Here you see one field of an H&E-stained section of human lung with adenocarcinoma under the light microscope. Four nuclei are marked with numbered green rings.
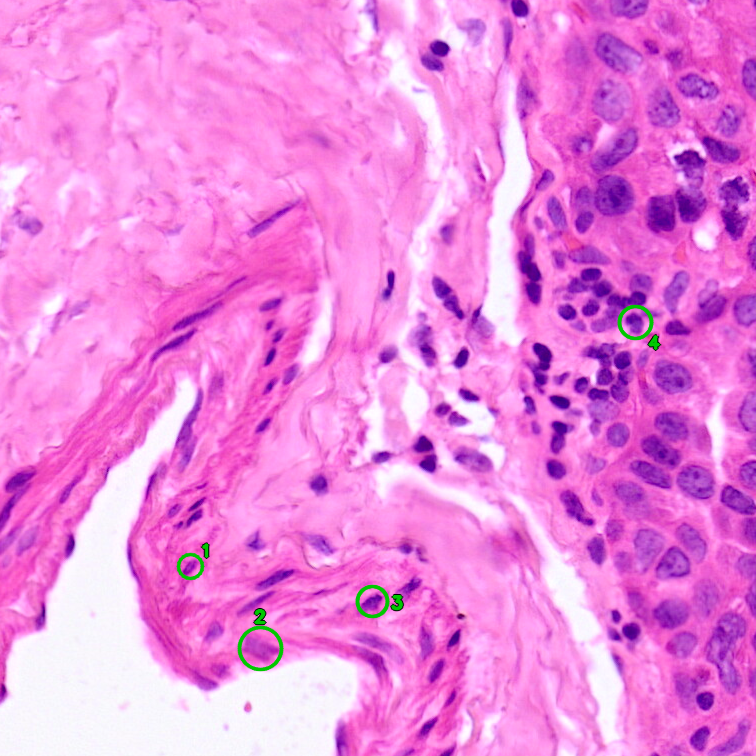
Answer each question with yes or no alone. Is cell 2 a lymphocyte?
no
